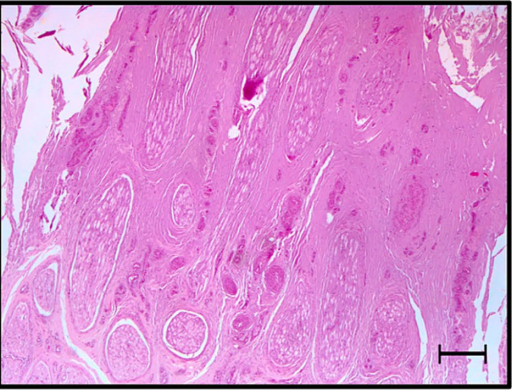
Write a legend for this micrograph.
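This low-power section of a peripheral nerve shows fascicles cut lengthwise and across. They are embedded in connective tissue that is stained an intense, even pink-purple throughout. The fibrillary texture of the tissue is largely gone, giving a smooth, glassy look. Rounded fascicles in the lower part still show their outlines and a faintly granular interior. Scattered small dark purple bodies lie between them. The tissue edges at the top corners are torn, with white empty spaces.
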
